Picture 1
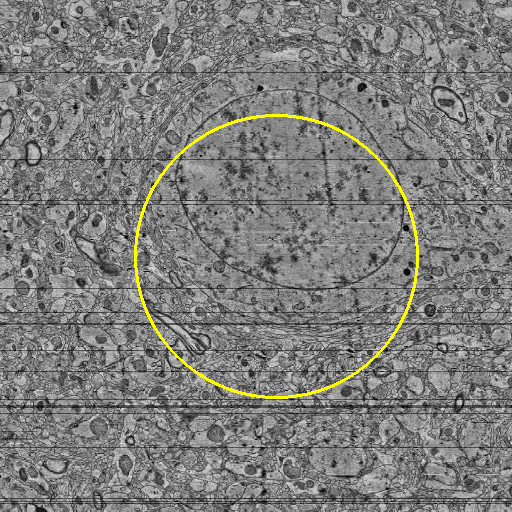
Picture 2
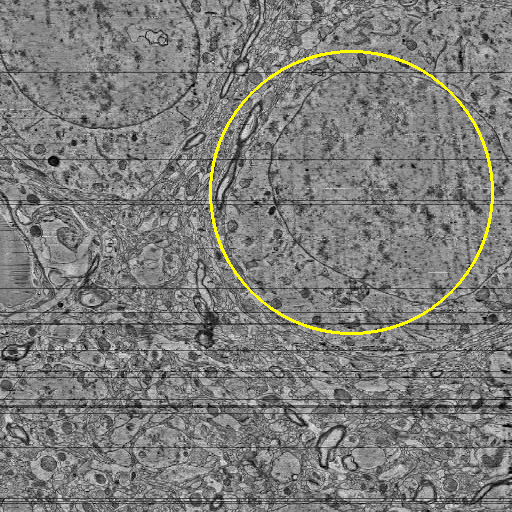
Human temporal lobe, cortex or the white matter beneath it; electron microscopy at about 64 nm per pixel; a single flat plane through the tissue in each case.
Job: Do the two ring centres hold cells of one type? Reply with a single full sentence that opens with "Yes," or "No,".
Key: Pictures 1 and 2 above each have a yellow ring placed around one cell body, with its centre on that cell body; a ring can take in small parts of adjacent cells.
Yes, the cells at the two ring centres are of one single type.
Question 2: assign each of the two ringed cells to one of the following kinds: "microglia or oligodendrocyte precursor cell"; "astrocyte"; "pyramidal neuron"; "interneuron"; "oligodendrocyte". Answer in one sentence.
The ring centre holds a pyramidal neuron in each of the two pictures.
